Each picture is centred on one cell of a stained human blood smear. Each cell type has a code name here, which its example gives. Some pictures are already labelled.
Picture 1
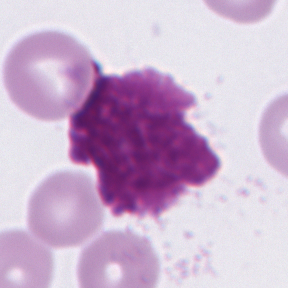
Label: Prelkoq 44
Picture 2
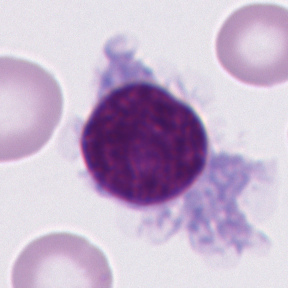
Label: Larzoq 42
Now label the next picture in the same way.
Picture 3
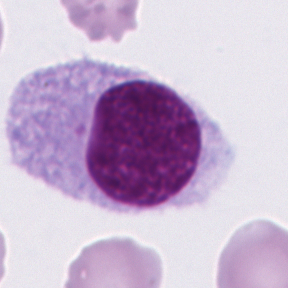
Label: Larzoq 42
